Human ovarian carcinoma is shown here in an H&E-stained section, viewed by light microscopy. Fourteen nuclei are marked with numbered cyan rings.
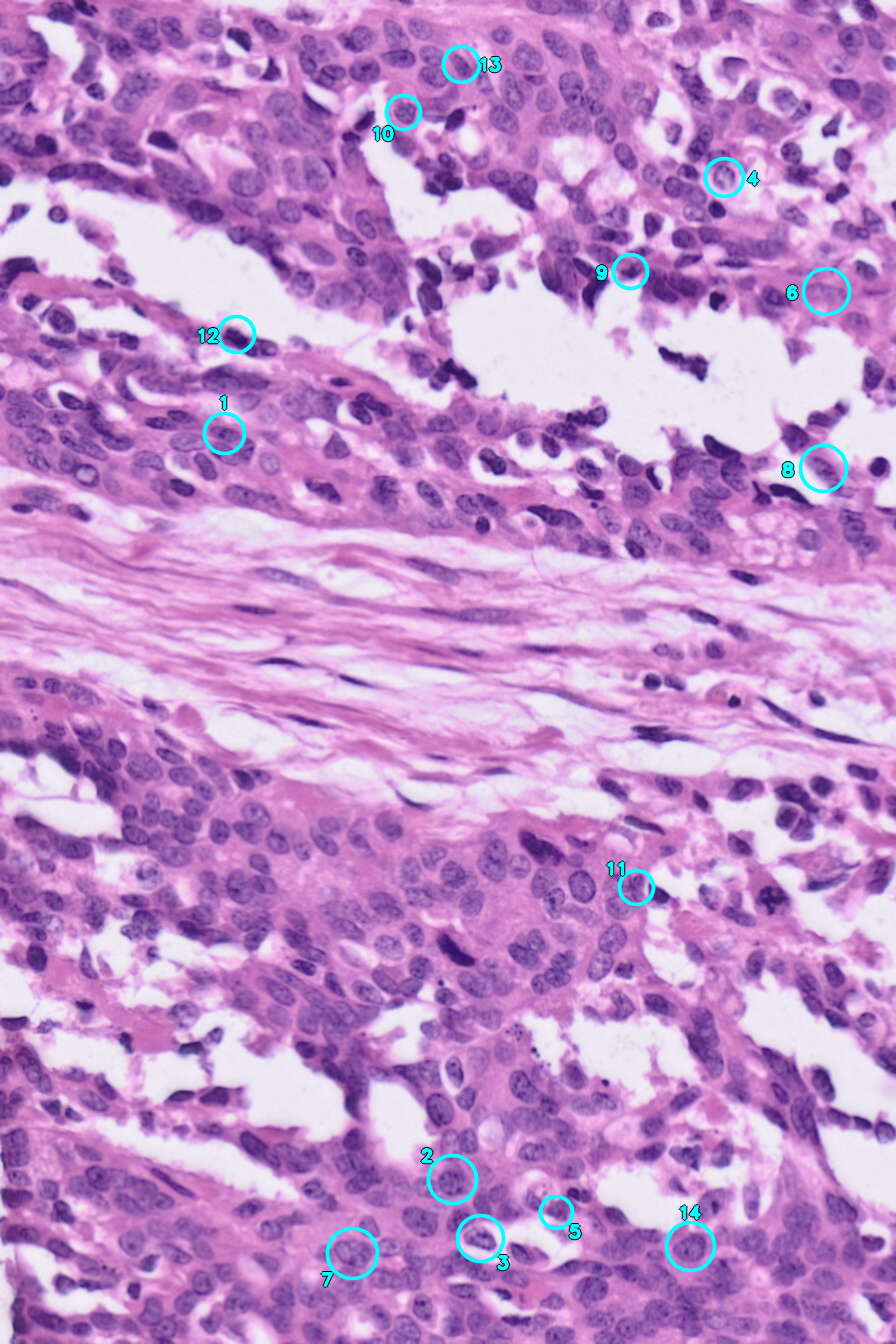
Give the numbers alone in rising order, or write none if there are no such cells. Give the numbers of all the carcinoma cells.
1, 2, 7, 8, 9, 11, 12, 14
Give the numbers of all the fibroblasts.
none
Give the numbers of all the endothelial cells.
6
